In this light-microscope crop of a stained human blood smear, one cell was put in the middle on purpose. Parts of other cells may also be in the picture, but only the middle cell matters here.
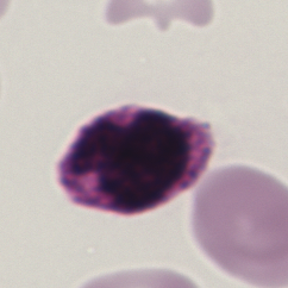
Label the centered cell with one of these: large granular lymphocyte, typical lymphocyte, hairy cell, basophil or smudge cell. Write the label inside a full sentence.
The central cell shown in this smear crop is a basophil.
